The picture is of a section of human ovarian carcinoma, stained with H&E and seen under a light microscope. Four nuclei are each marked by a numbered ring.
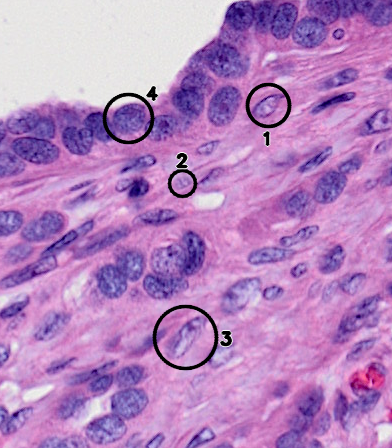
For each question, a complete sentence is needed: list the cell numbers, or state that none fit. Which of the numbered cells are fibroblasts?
The cells carrying the numbers 1, 2 and 3 are fibroblasts.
